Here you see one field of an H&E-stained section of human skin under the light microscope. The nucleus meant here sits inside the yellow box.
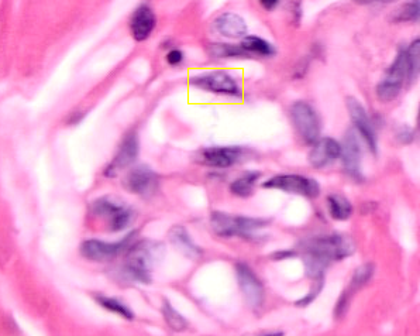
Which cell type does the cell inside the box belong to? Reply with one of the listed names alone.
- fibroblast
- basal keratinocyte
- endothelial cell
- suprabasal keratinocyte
endothelial cell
